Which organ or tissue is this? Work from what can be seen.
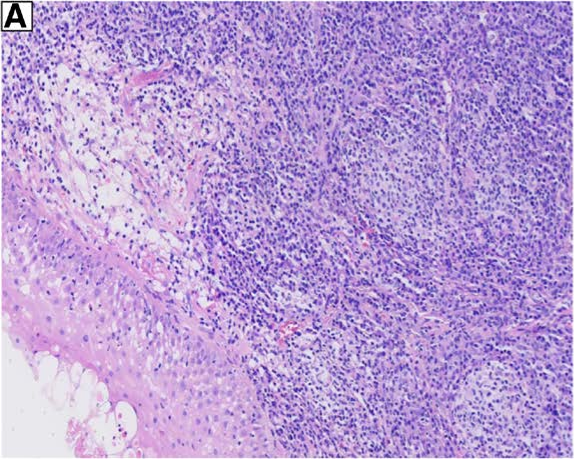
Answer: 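A pink stratified layer of flattened epithelial cells runs along the lower left edge. Densely cellular tissue lies beneath and to the right of this layer. So: squamous epithelium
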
